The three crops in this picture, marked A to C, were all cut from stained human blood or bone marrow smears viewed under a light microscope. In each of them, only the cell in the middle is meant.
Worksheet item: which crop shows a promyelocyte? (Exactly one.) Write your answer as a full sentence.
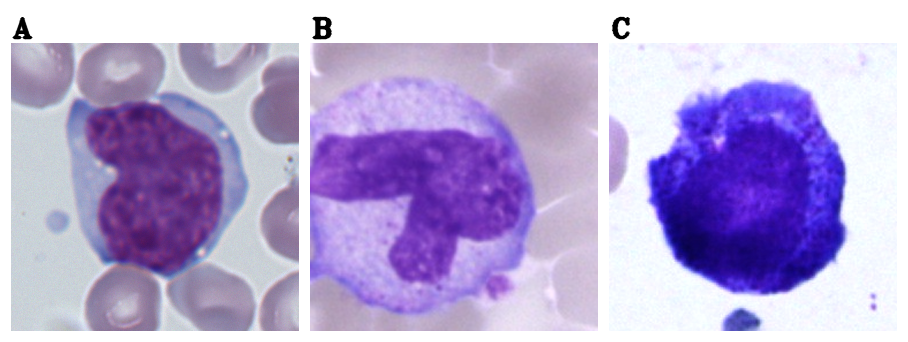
Of the labelled crops, the one that shows a promyelocyte is crop C.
